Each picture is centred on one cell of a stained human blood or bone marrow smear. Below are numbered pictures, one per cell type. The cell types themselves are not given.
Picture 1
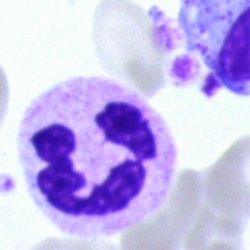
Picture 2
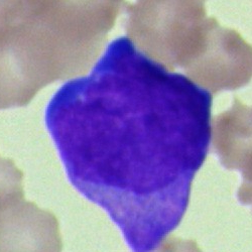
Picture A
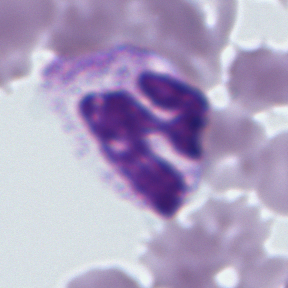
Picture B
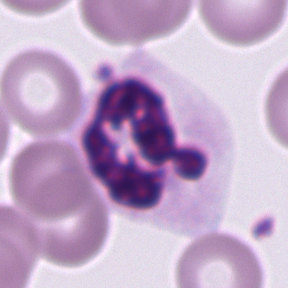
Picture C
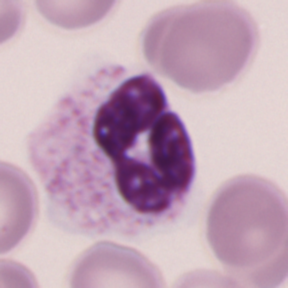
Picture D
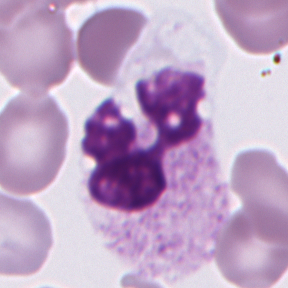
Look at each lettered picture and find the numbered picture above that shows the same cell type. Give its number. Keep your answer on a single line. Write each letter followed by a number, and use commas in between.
A 1, B 1, C 1, D 1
